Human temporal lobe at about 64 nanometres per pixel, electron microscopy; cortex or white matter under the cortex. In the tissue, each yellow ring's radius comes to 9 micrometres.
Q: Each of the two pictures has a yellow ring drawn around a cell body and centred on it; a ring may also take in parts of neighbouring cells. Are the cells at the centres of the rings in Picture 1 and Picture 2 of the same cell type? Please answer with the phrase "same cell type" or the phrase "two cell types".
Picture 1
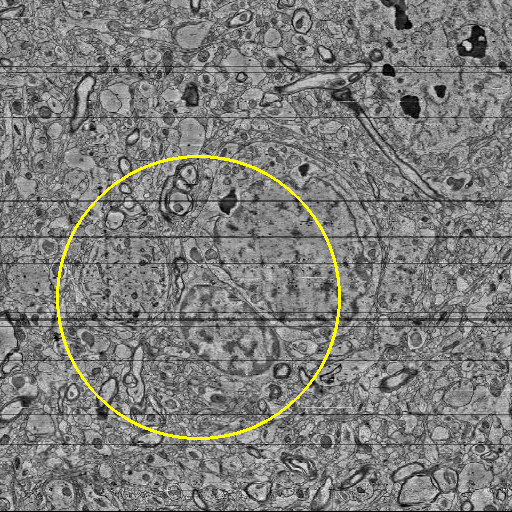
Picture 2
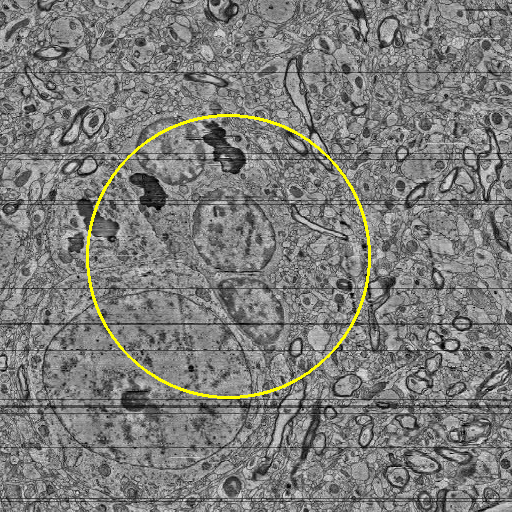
same cell type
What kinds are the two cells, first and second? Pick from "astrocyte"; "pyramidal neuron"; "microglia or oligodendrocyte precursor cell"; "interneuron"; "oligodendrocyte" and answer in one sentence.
In each picture the ringed cell is an oligodendrocyte.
